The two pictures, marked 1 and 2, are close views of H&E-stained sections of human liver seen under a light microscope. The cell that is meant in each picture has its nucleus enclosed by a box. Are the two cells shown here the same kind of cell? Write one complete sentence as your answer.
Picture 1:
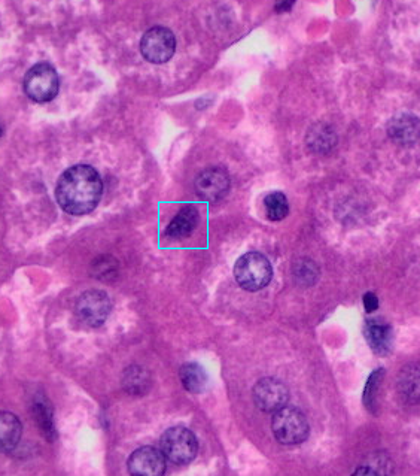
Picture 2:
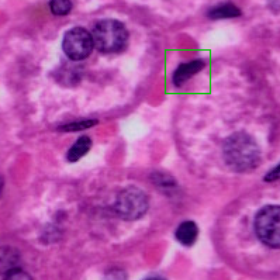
No, picture 1 shows a “fibroblast or stellate cell” and picture 2 shows an endothelial cell.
